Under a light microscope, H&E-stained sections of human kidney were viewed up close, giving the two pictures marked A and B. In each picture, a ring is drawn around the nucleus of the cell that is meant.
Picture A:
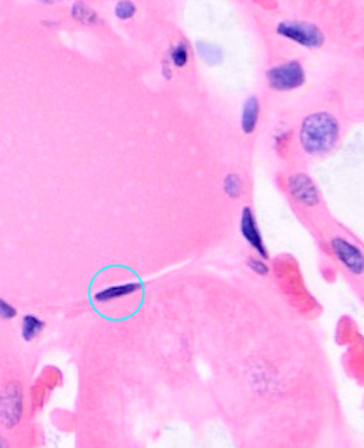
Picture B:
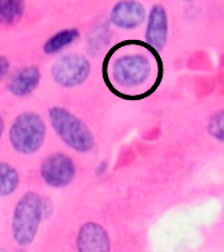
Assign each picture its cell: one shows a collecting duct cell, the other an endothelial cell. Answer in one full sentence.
Picture A is of an endothelial cell, and picture B is of a collecting duct cell.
